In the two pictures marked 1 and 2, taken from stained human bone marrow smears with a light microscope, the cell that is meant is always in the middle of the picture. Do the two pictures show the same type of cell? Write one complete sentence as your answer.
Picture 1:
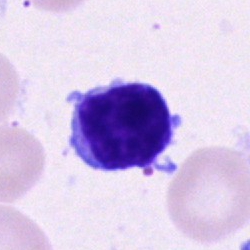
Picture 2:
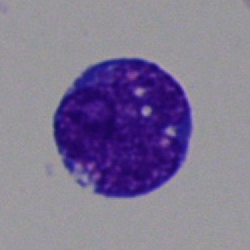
No; the cell in picture 1 is a lymphocyte, while the one in picture 2 is a blast.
